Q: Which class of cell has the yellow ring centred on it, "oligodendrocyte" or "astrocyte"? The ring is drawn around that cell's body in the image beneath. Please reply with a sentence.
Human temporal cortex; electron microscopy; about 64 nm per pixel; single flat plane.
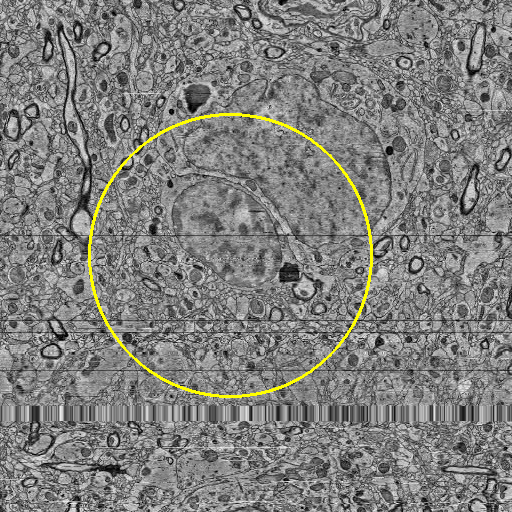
It is centred on an oligodendrocyte.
